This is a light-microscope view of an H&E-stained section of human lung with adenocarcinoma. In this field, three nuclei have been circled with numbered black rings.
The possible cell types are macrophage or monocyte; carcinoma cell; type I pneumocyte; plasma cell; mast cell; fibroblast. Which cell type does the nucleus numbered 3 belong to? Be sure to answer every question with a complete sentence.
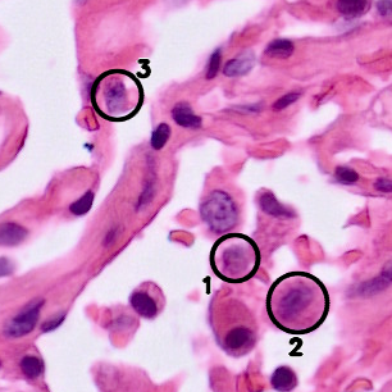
To a type I pneumocyte belongs the nucleus marked 3.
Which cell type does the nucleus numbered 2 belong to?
The cell to which the number 2 is assigned is a macrophage or monocyte.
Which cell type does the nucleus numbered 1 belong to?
In this section, number 1 marks a macrophage or monocyte.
